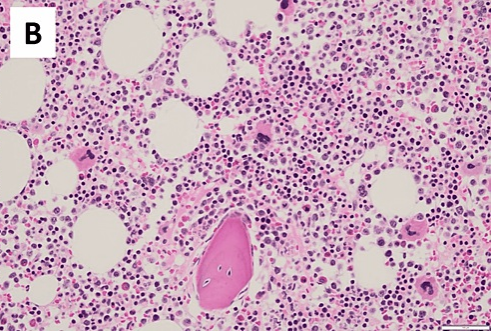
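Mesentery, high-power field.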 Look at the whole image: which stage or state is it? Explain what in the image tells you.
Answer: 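True trilineage hematopoiesis. Many small round cells with dark compact nuclei fill the spaces between fat. Scattered very large cells with abundant pink cytoplasm and lobulated nuclei are present. Cells of mixed sizes and nuclear shapes are intermingled.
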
